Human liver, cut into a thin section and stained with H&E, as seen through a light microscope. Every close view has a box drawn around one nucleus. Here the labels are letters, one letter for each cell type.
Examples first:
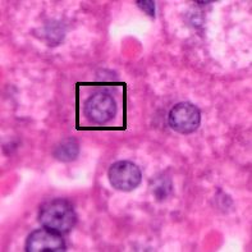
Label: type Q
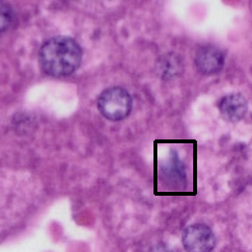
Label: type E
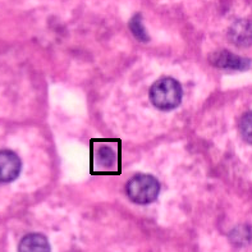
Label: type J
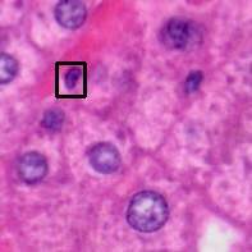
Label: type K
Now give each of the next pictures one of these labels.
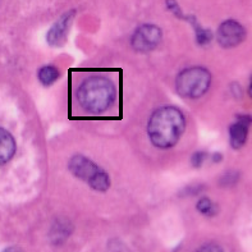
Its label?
type Q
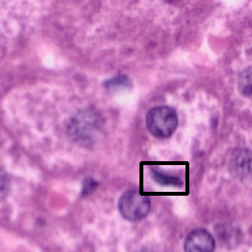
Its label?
type E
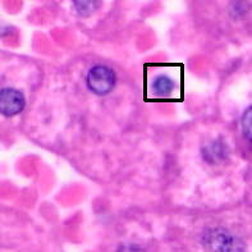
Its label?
type K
